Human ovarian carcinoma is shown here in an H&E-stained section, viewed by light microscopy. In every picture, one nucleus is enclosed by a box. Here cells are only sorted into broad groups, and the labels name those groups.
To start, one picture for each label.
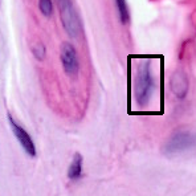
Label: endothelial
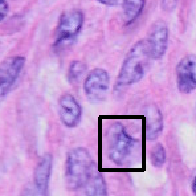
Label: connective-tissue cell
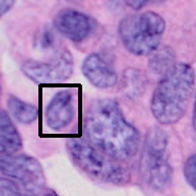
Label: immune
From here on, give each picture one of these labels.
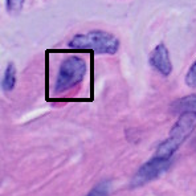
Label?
endothelial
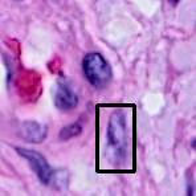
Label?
connective-tissue cell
